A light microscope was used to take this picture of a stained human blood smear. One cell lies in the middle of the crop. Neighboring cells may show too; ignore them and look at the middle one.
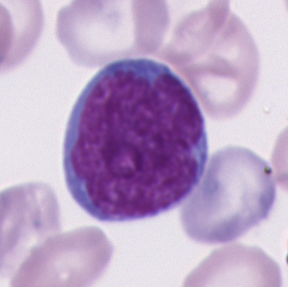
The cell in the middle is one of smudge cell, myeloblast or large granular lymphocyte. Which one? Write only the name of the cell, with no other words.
myeloblast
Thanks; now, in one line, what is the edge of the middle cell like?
No projections interrupt the outline; it is smooth all the way round.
